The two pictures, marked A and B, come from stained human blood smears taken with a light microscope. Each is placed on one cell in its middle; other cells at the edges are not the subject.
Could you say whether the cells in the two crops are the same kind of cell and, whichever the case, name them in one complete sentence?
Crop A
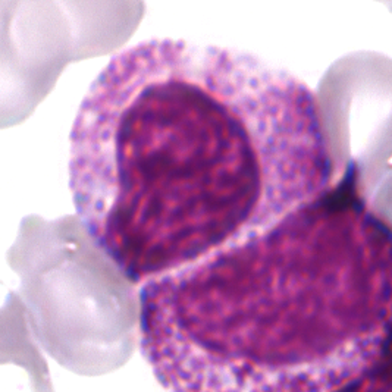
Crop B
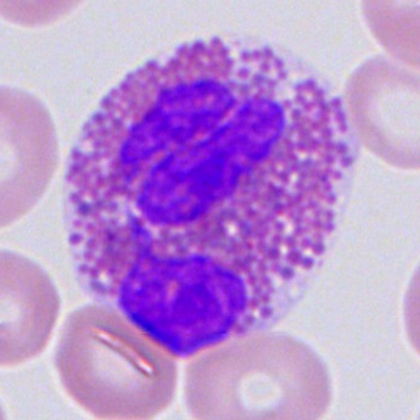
No, crop A presents a band neutrophil; crop B presents an eosinophil.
